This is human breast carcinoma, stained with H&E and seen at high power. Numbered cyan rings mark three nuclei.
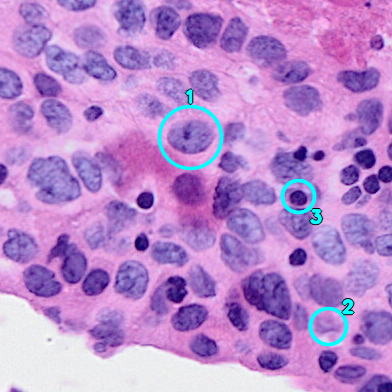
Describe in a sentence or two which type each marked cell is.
Cell 1 is a carcinoma cell, cell 2 is a carcinoma cell and cell 3 is a lymphocyte.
